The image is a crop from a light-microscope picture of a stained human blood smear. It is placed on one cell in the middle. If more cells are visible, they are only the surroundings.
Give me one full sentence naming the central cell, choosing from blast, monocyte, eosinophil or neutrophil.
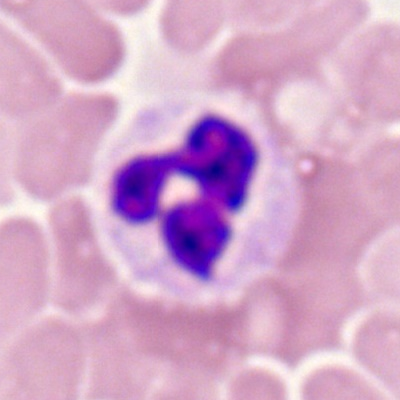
At the crop's centre, the cell is a neutrophil.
